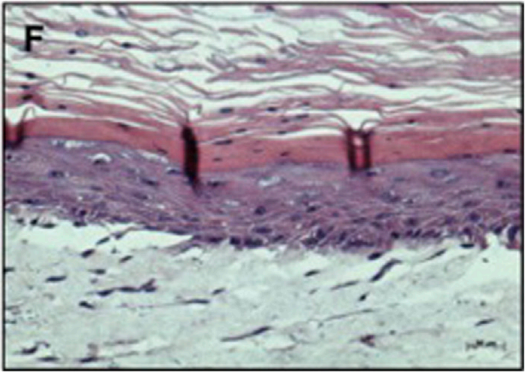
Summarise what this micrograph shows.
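A stratified epidermis-like layer rests on a pale dermal matrix. The matrix below is loose and lightly stained, with scattered elongated nuclei. Above it lies a band of densely packed cells with purple nuclei, topped by a compact, pink, flattened layer. Over this, thin wavy pink lamellae lie in loose sheets that separate from the surface, and dark vertical folds cross the layers.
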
